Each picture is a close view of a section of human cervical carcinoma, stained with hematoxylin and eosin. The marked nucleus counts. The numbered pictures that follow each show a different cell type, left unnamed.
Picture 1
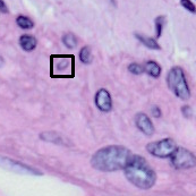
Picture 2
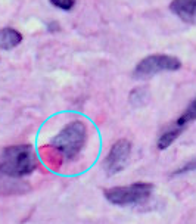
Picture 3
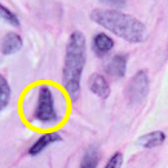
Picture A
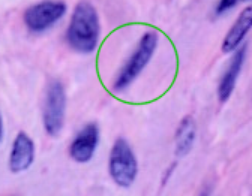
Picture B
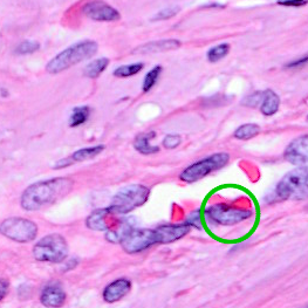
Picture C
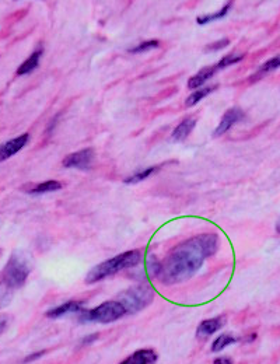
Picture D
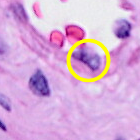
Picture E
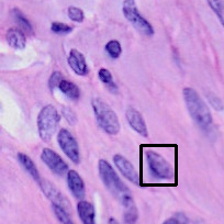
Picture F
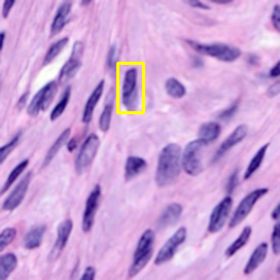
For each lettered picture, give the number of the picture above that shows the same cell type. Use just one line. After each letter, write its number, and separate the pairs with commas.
A 3, B 2, C 2, D 2, E 3, F 3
